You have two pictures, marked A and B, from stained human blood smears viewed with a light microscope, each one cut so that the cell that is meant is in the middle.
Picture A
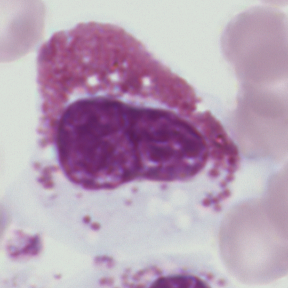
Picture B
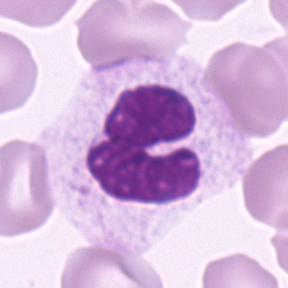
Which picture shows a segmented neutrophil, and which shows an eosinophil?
A: eosinophil
B: segmented neutrophil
